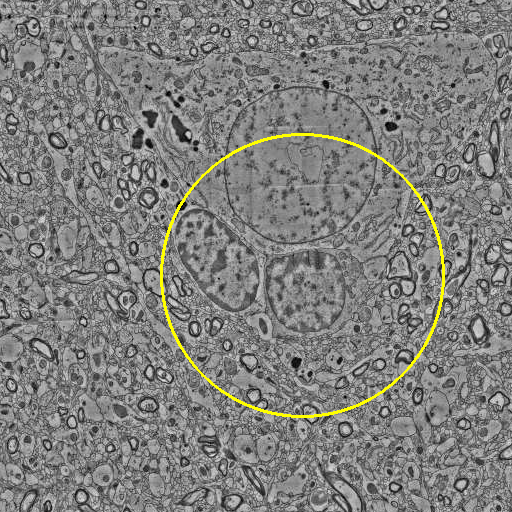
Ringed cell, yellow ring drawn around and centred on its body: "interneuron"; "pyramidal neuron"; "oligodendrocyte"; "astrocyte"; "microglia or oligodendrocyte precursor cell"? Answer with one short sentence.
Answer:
This ringed cell is an oligodendrocyte.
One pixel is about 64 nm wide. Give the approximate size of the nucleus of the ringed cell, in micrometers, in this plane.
In this plane, the nucleus of the cell at the centre of the ring is about 5 micrometres across.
